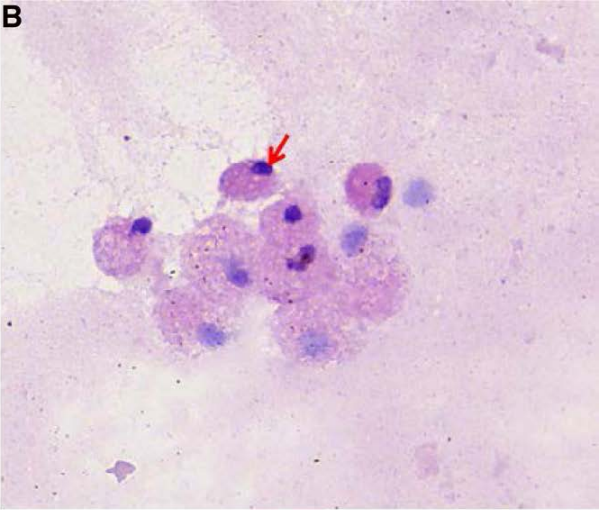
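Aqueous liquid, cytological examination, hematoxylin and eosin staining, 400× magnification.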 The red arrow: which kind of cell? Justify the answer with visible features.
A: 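Large rounded cells with abundant pale pink, finely granular cytoplasm. Small dark purple nuclei, several placed off-centre. The cells lie together in a loose cluster. The answer: lens protein-laden macrophages.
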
